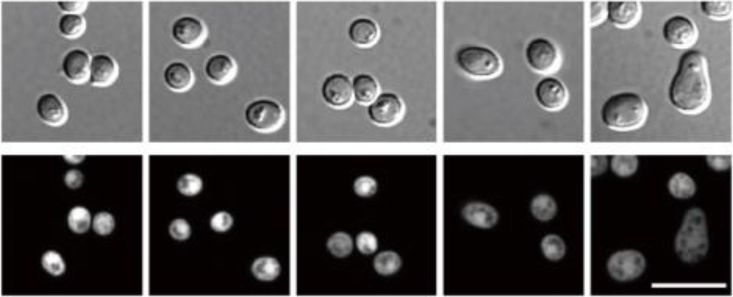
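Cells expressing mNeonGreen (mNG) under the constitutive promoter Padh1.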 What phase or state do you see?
germination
